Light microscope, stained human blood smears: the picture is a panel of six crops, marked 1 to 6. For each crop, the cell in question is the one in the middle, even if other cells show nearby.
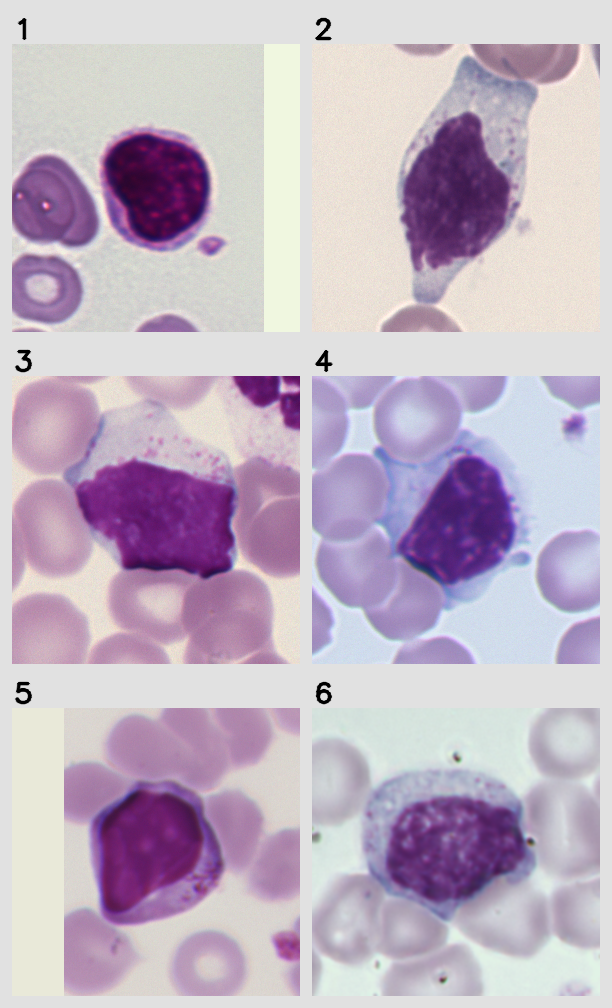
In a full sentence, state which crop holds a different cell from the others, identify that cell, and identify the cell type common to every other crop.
Crop 6 shows a myelocyte, while all of the others show large granular lymphocytes.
